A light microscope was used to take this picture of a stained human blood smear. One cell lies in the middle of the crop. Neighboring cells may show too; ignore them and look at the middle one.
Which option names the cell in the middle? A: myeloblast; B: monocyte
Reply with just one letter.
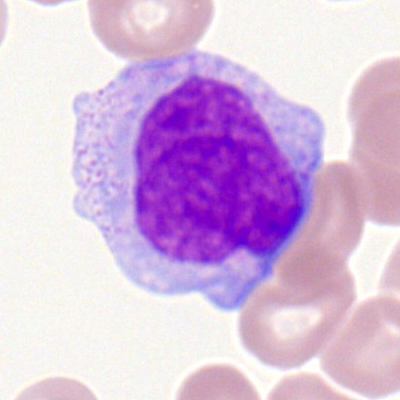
B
